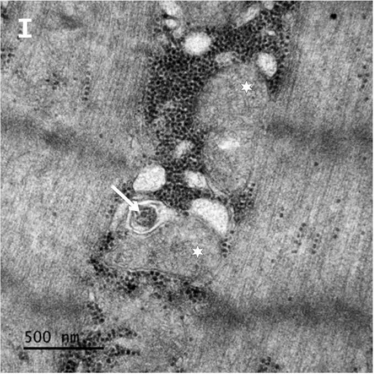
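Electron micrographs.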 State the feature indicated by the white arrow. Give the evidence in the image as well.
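The arrow points to a small ring of concentric membranes. It lies inside a membrane-bounded organelle. On this evidence: membranous inclusion.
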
